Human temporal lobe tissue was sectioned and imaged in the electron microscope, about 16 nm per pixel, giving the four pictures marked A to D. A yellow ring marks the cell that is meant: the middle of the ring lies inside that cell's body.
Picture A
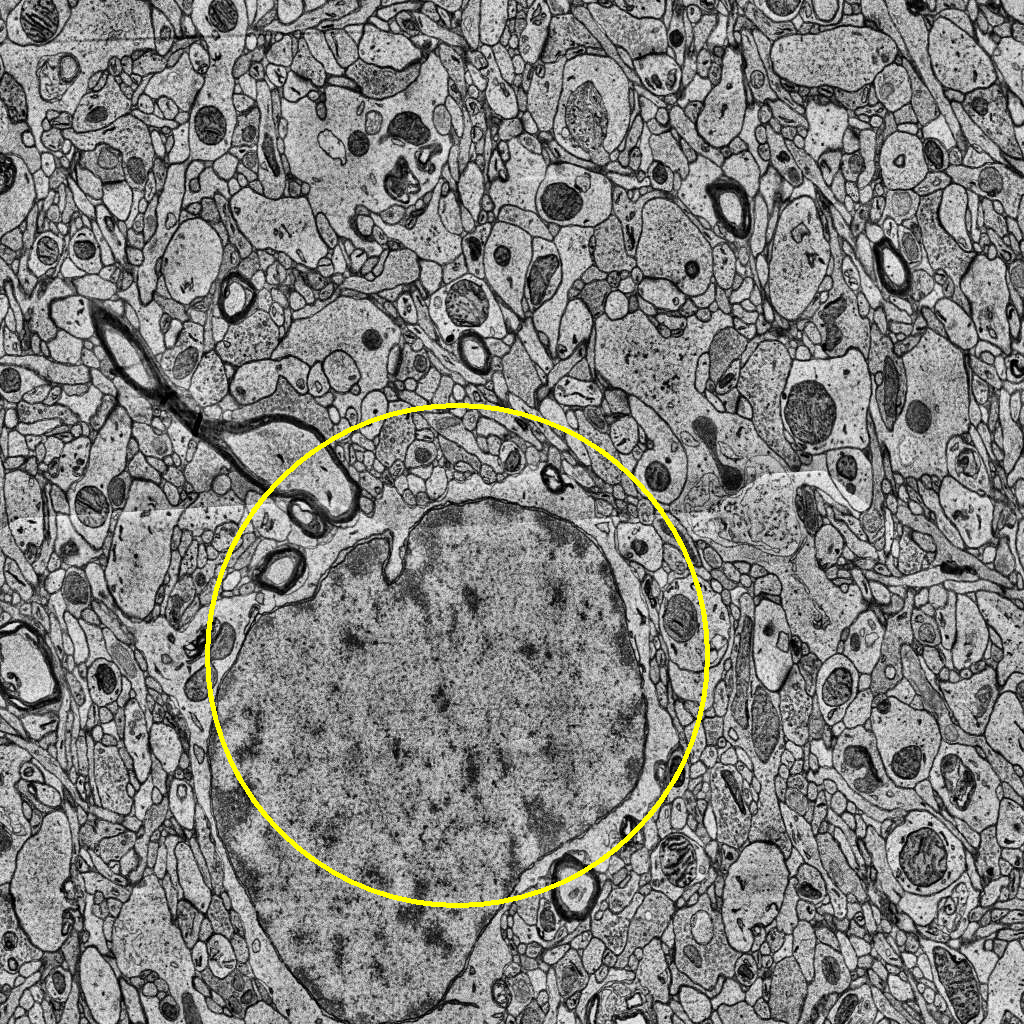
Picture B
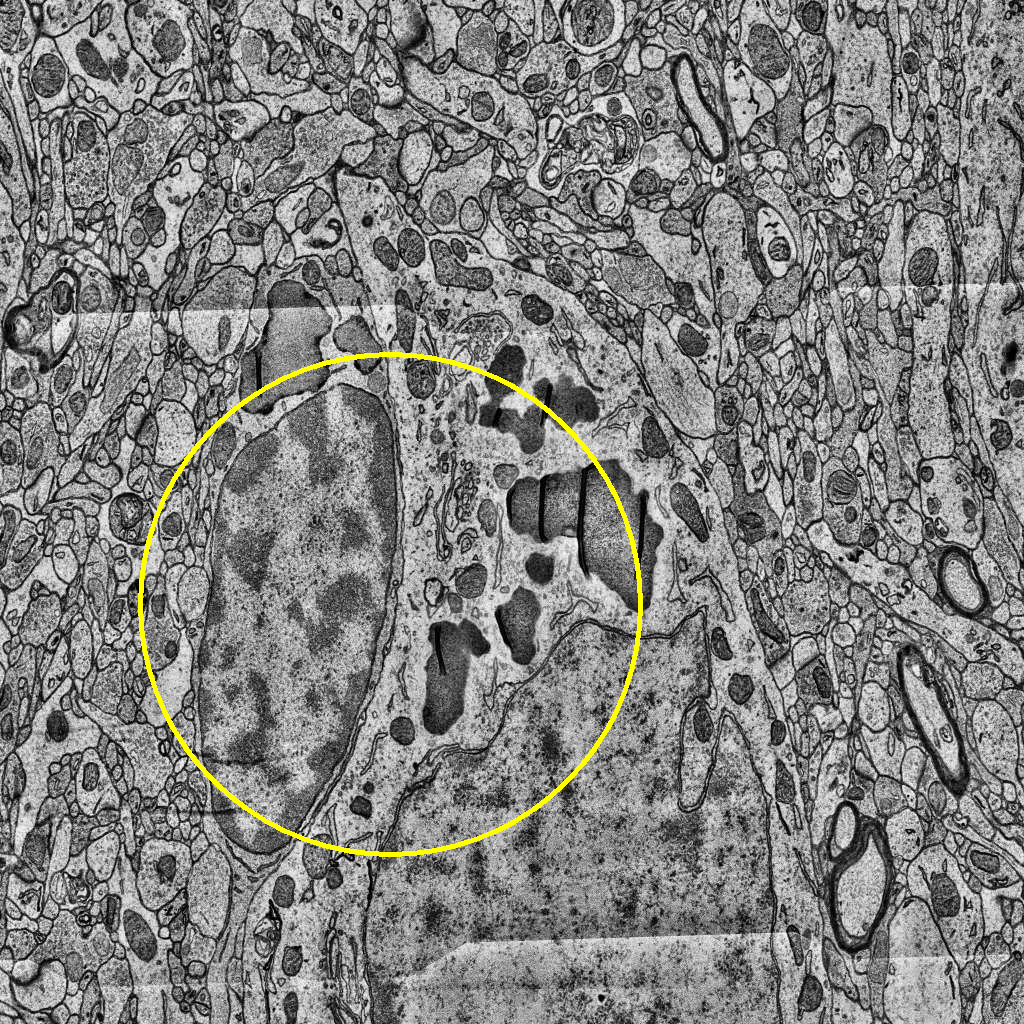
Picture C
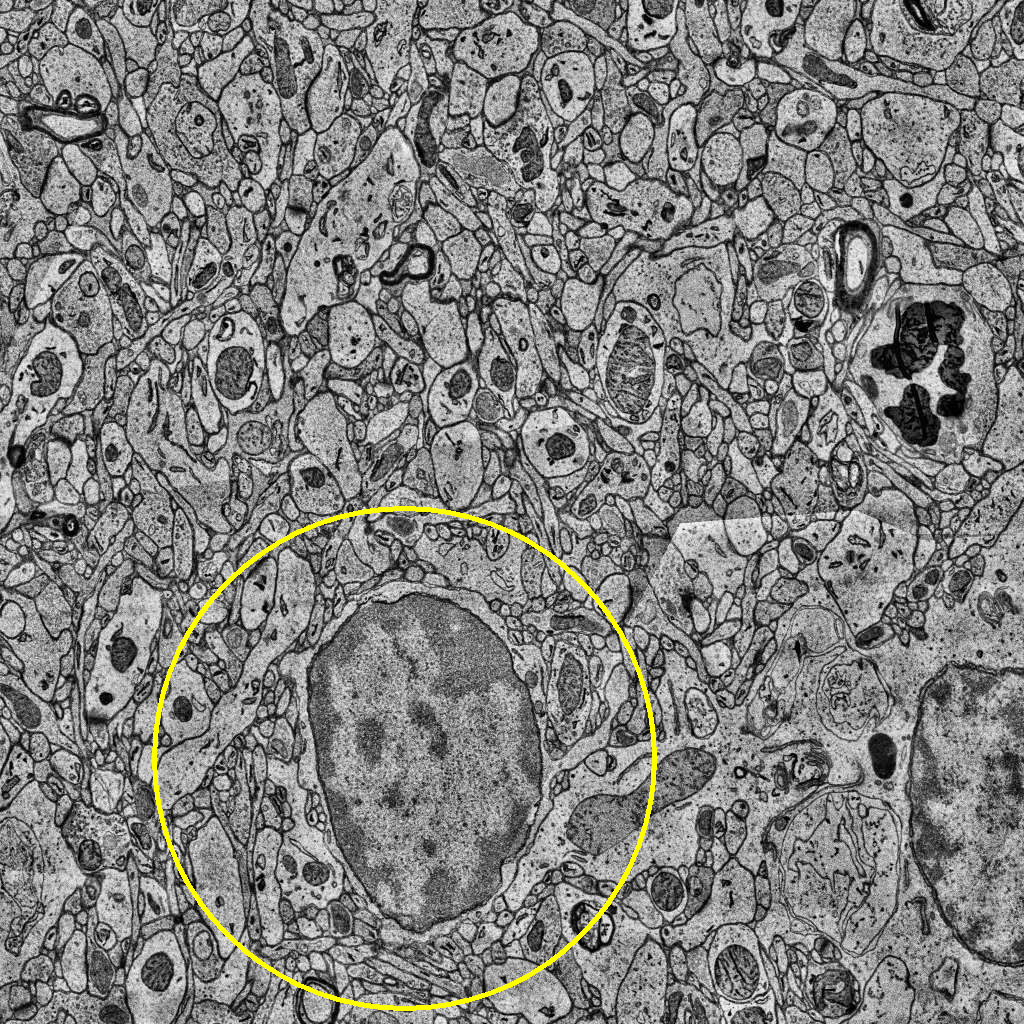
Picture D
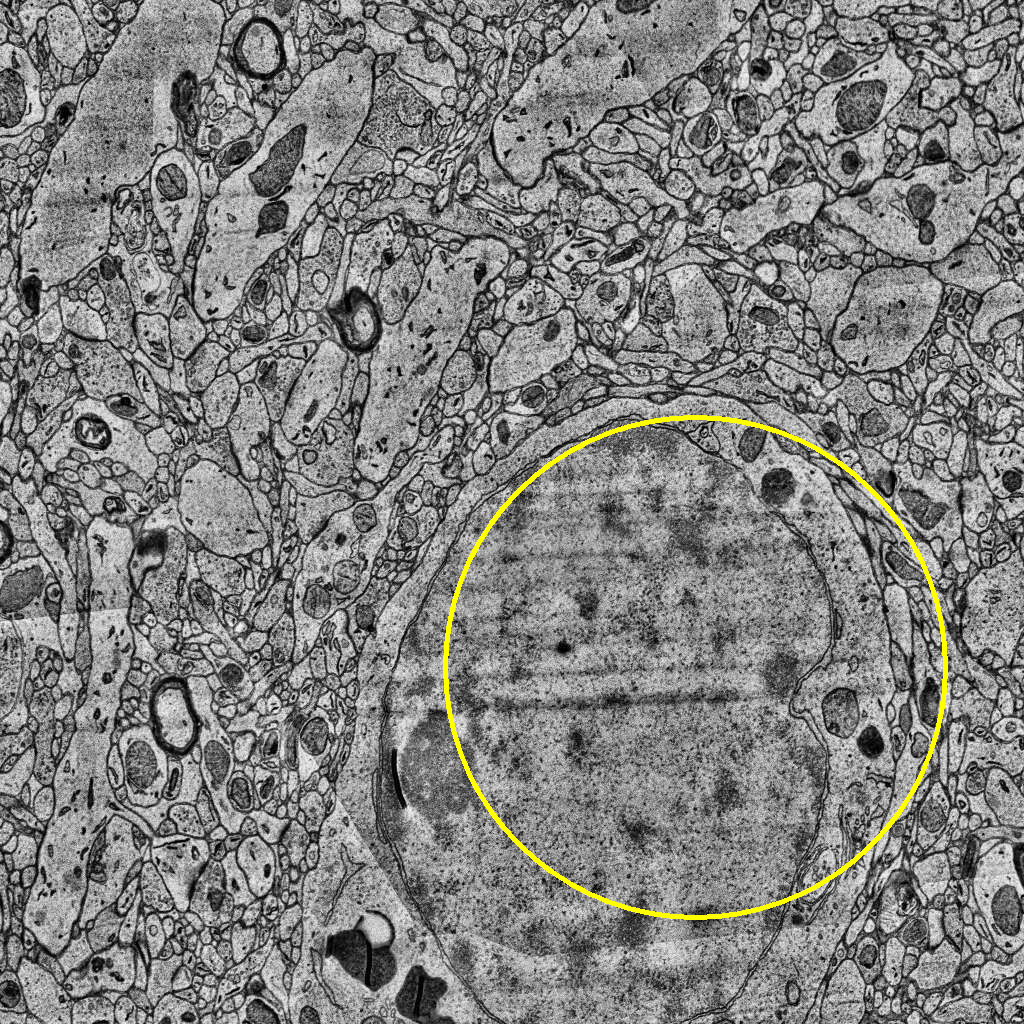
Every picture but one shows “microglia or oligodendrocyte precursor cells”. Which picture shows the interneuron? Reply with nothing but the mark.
D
